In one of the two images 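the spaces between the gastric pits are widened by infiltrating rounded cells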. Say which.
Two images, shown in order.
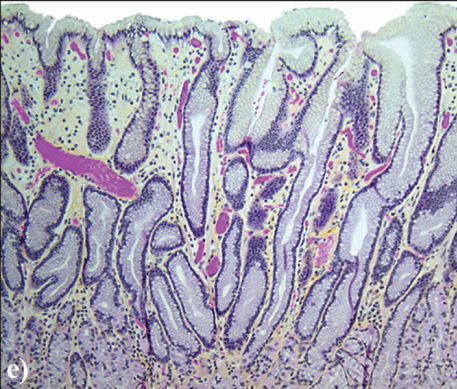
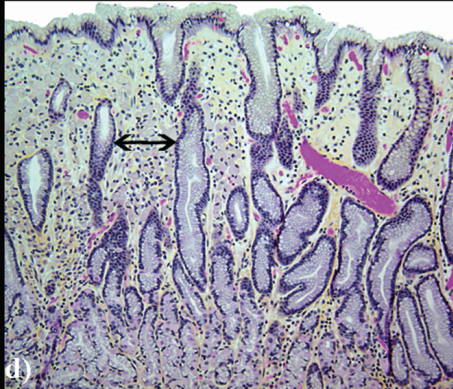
The second image.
